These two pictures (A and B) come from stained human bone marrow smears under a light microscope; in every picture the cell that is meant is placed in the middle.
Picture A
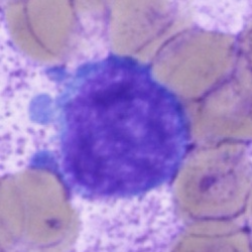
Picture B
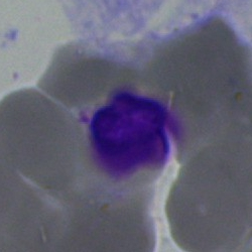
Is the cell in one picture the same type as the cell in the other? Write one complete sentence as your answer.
No, picture A shows a blast and picture B shows a lymphocyte.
